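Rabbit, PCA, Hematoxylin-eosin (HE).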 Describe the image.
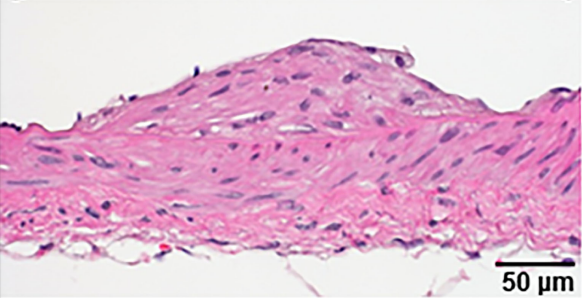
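Artery wall with a small intimal lesion. A low dome of thickened intima rises into the lumen, built of pink fibrillar matrix with scattered spindle and plump cells whose oval to elongated dark nuclei lie in loose, partly parallel arrays; a few flattened cells cover its luminal surface. Beneath it the media forms a band of layered elongated cells with cigar-shaped nuclei in pink cytoplasm, aligned along the wall. Outermost lies a looser, paler pink fibrous layer with sparse nuclei and open spaces. No necrotic core or foam-cell cluster is evident.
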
